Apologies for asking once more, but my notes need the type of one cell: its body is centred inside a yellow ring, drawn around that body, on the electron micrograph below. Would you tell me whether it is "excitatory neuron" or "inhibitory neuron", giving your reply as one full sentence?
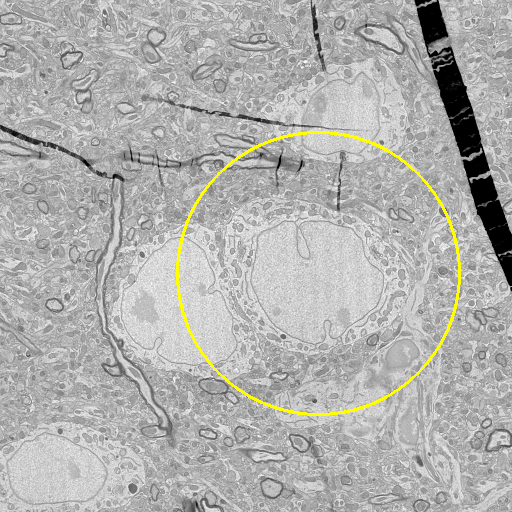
The cell that the yellow ring is centred on is an inhibitory neuron in this micrograph.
